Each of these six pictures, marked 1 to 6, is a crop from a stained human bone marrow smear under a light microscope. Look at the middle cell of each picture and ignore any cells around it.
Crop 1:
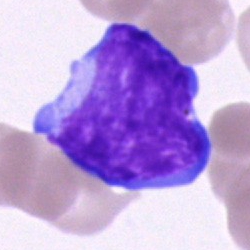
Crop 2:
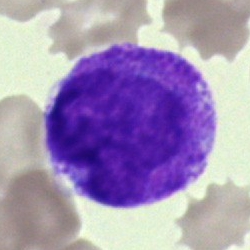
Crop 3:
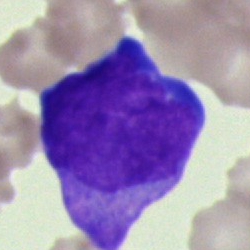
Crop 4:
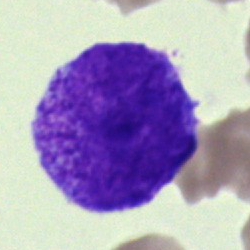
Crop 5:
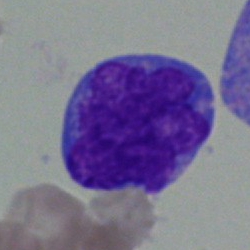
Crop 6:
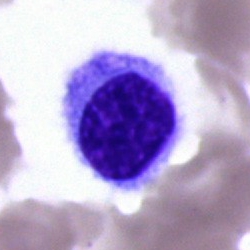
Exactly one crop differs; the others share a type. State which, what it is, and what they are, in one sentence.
Crop 6 is a hairy cell, the one exception to the blasts of the other crops.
